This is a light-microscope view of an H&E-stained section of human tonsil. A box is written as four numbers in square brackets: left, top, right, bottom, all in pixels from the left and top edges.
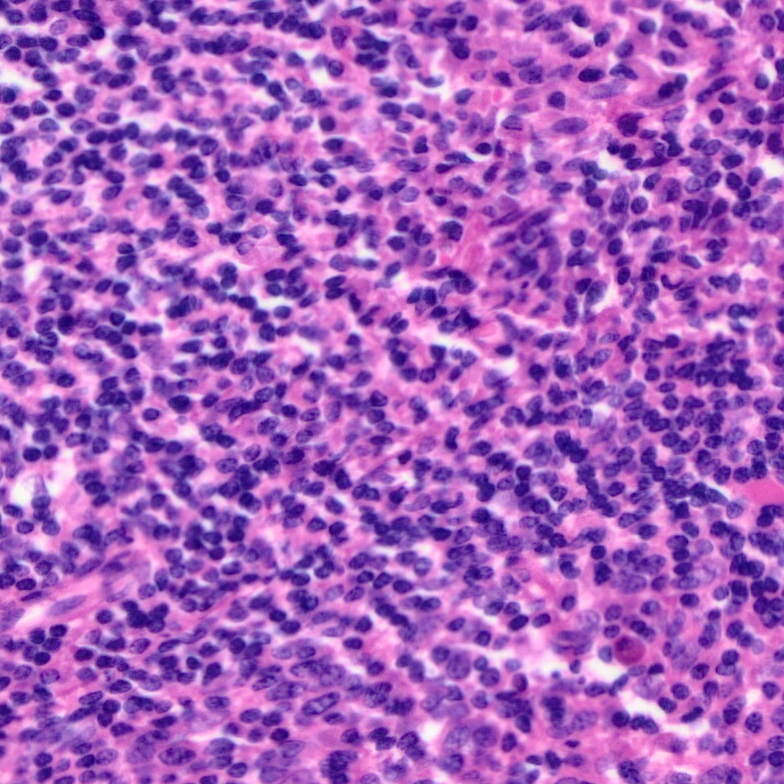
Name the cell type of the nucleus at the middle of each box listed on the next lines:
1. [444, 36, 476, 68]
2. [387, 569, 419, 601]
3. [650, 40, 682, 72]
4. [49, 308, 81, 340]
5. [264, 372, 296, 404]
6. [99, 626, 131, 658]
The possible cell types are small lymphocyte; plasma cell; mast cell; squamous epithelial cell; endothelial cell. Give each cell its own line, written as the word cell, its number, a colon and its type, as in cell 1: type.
cell 1: plasma cell
cell 2: small lymphocyte
cell 3: plasma cell
cell 4: small lymphocyte
cell 5: small lymphocyte
cell 6: small lymphocyte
